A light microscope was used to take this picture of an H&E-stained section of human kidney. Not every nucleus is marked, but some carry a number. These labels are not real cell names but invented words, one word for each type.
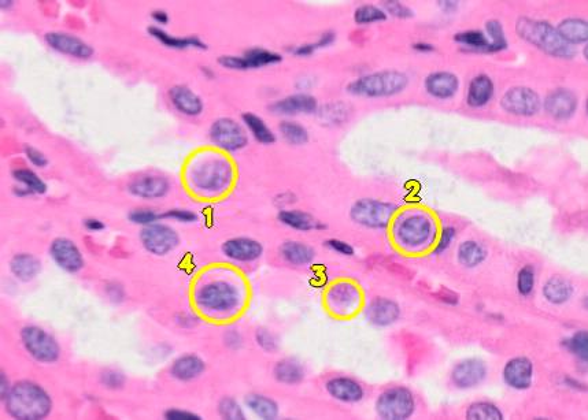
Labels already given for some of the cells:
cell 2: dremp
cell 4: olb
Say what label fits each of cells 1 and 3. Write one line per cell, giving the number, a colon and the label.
1: olb
3: olb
